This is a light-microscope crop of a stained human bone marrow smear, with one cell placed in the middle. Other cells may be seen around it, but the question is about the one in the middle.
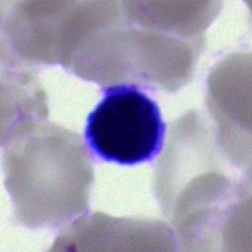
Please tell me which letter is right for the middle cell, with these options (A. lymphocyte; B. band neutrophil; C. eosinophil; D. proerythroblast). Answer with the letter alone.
A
